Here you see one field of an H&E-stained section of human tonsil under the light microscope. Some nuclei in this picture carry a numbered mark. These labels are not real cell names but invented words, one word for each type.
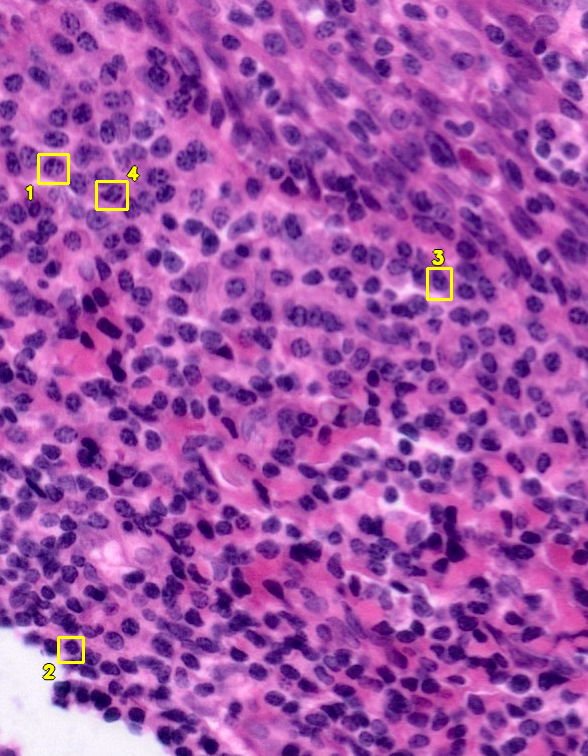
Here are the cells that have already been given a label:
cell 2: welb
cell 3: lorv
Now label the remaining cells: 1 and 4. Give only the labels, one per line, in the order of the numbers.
lorv
lorv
